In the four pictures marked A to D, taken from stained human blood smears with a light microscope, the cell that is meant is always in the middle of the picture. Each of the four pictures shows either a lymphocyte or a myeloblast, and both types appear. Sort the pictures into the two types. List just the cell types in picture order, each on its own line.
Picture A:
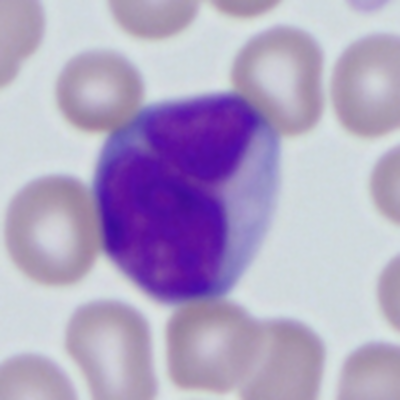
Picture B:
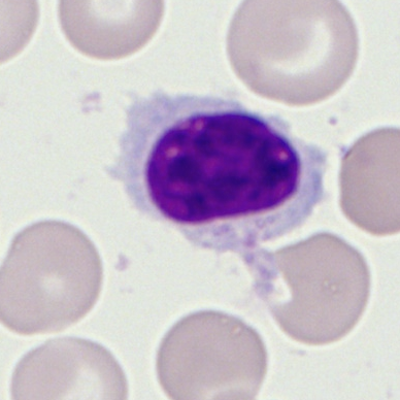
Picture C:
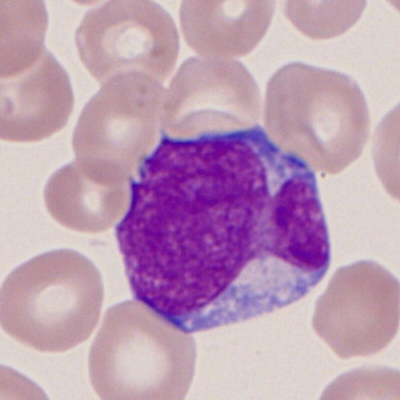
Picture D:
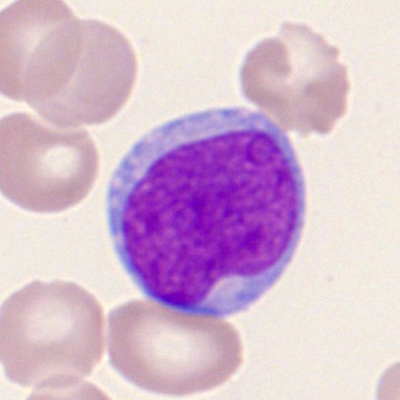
myeloblast
lymphocyte
myeloblast
myeloblast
